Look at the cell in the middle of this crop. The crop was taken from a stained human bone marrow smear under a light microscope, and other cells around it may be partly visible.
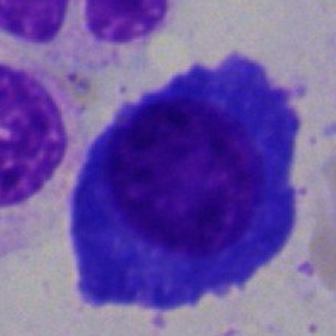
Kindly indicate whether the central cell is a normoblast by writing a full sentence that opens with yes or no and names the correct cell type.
No, the middle of the crop holds a plasma cell, not a normoblast.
